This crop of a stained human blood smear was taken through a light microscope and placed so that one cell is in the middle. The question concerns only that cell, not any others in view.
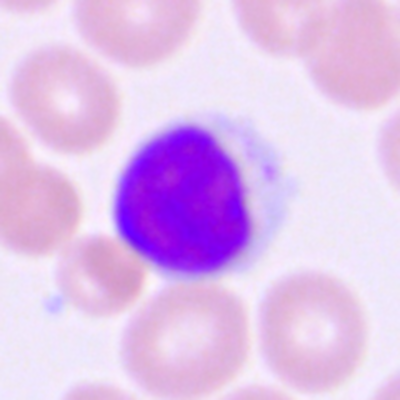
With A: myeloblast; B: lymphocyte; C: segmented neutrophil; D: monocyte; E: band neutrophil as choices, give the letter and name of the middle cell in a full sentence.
The expected answer is option B, the central cell being a lymphocyte.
